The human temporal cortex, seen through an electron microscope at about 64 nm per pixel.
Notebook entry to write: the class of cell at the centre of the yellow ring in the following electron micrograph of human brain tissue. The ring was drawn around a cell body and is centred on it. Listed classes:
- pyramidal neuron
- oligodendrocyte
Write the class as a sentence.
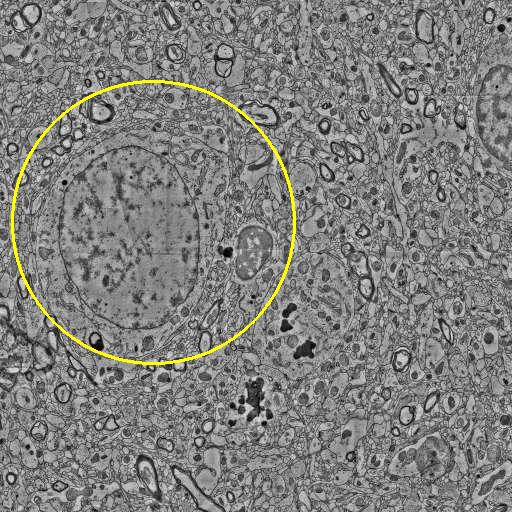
The yellow ring sits on a pyramidal neuron.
